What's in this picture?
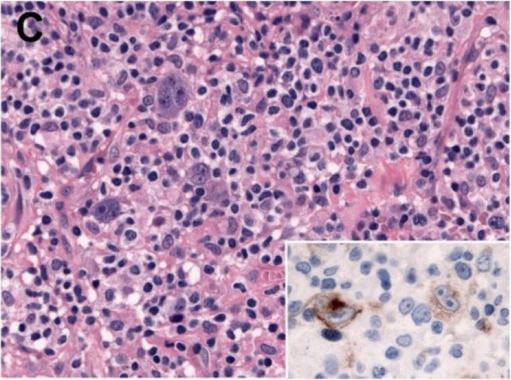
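Polymorphous infiltrate of small lymphocytes, plasma cells and histiocytes with scattered large transformed cells. Most cells are small with round dark nuclei and scant cytoplasm; some have eccentric nuclei and more pink cytoplasm. A few large cells stand out, with abundant cytoplasm, large nuclei and prominent nucleoli, resembling Hodgkin-type cells. Thin strands of pink collagen run between the cells. In the inset, large cells show brown membrane and cytoplasmic staining, while surrounding small cells are unstained blue.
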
